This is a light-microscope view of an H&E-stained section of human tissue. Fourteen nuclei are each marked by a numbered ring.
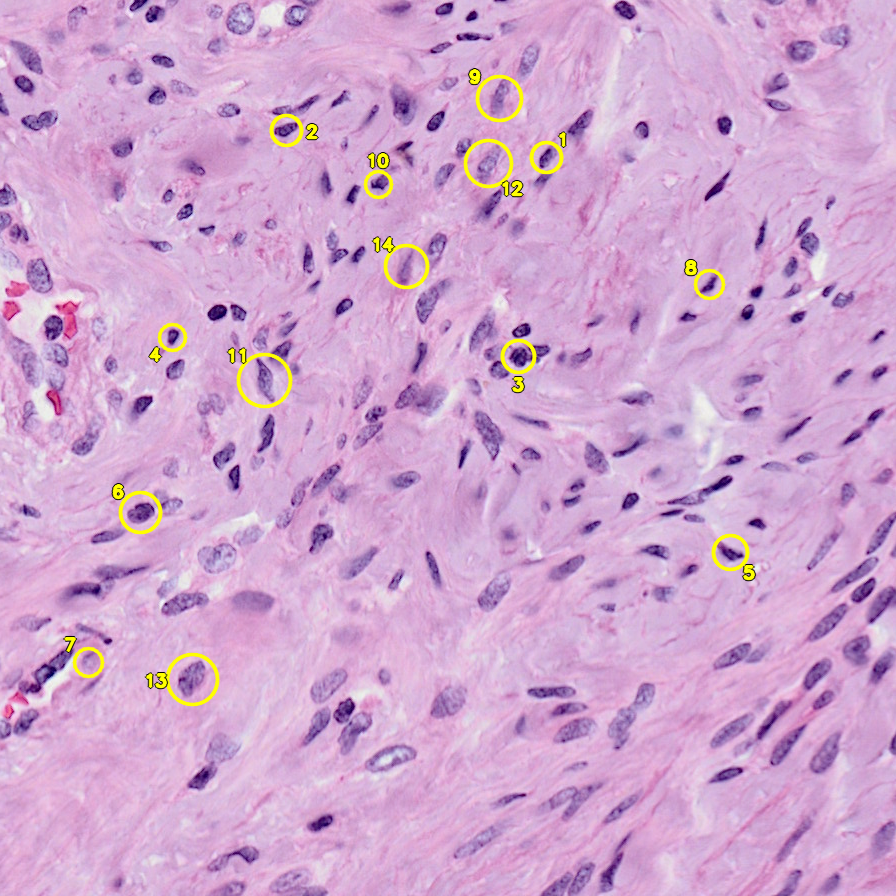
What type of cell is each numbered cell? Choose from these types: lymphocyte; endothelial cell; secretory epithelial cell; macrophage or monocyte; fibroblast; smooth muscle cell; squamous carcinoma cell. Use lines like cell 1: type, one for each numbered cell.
cell 1: fibroblast
cell 2: fibroblast
cell 3: lymphocyte
cell 4: fibroblast
cell 5: fibroblast
cell 6: lymphocyte
cell 7: endothelial cell
cell 8: fibroblast
cell 9: smooth muscle cell
cell 10: fibroblast
cell 11: fibroblast
cell 12: smooth muscle cell
cell 13: fibroblast
cell 14: smooth muscle cell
